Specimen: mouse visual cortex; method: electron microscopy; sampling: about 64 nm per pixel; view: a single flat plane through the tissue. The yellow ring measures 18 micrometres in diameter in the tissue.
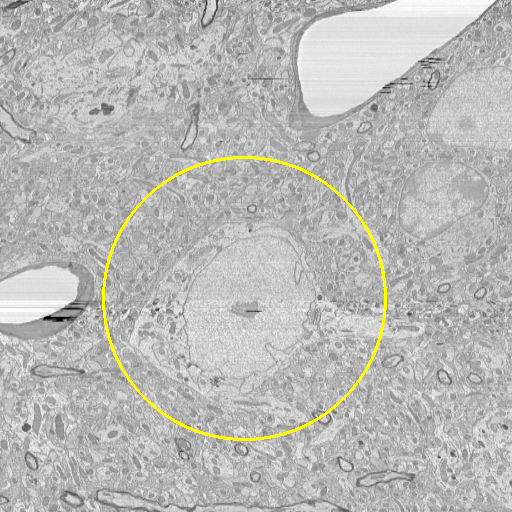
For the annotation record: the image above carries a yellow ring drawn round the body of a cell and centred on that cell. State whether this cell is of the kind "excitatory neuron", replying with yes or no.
No, this cell is of another kind.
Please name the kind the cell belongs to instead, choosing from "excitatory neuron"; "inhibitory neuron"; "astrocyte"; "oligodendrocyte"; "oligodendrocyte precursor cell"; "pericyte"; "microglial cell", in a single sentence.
Instead, the ring in this picture marks an inhibitory neuron.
